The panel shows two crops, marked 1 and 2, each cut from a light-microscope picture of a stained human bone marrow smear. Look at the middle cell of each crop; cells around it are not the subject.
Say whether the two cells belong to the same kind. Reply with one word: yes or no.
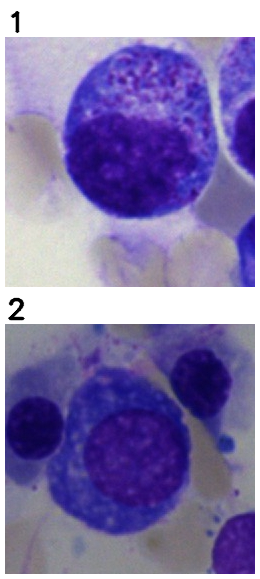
no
